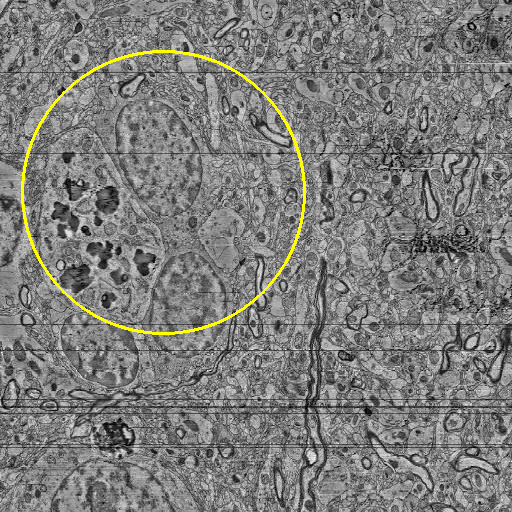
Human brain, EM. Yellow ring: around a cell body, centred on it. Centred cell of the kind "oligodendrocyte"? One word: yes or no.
yes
